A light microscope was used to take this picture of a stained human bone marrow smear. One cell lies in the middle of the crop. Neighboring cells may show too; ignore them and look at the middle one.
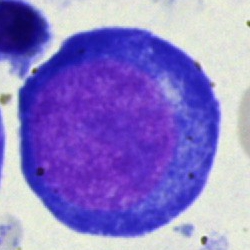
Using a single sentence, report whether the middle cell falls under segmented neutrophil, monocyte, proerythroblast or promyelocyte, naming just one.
Looking at the middle of the crop, the cell there is a proerythroblast.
